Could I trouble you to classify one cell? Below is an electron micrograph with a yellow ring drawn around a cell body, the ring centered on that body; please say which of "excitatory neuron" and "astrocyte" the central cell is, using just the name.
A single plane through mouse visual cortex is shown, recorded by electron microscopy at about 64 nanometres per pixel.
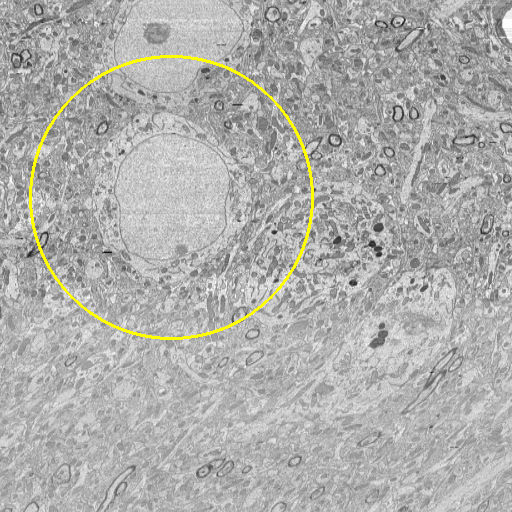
excitatory neuron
